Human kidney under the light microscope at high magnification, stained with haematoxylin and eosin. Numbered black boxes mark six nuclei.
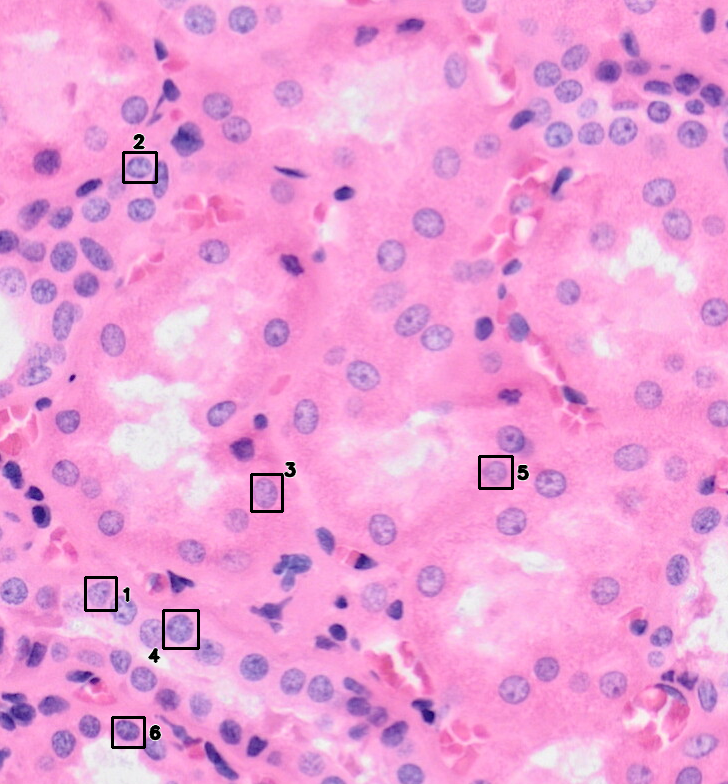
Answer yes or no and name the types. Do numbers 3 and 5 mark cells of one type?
Yes, within the numbered set, cells 3 and 5 are both proximal tubule cells.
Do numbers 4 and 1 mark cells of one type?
Yes, cells 4 and 1 are both termed collecting duct cells.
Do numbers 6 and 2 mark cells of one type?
No, cell 6 is a loop of Henle or distal tubule cell and cell 2, for its part, is a collecting duct cell.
